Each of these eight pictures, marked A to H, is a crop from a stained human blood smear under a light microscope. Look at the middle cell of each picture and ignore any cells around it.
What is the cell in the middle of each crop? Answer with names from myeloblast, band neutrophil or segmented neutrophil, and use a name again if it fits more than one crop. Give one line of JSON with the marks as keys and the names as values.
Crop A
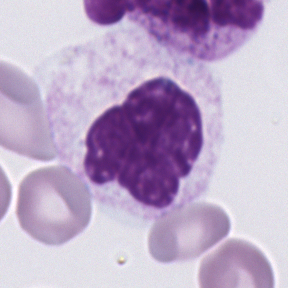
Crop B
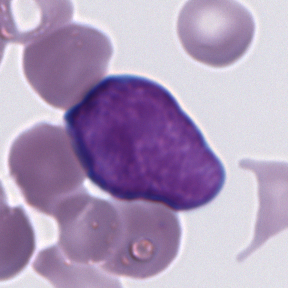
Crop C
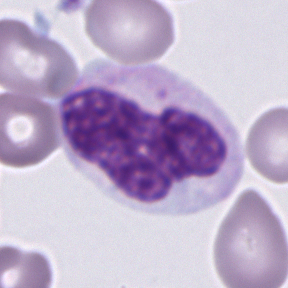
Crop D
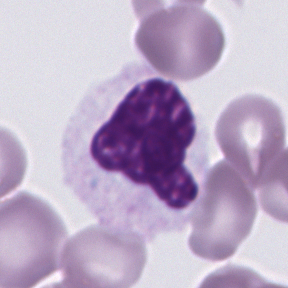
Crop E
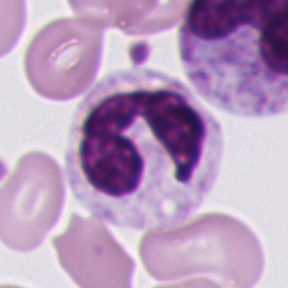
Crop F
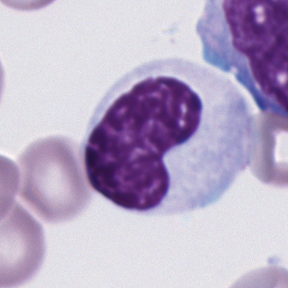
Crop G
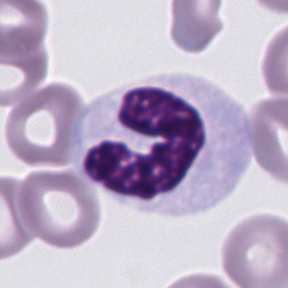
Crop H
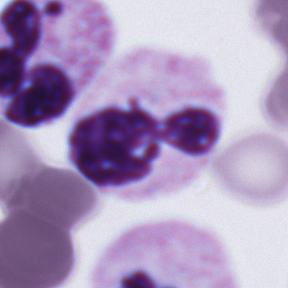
{"A": "segmented neutrophil", "B": "myeloblast", "C": "segmented neutrophil", "D": "segmented neutrophil", "E": "segmented neutrophil", "F": "band neutrophil", "G": "band neutrophil", "H": "segmented neutrophil"}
